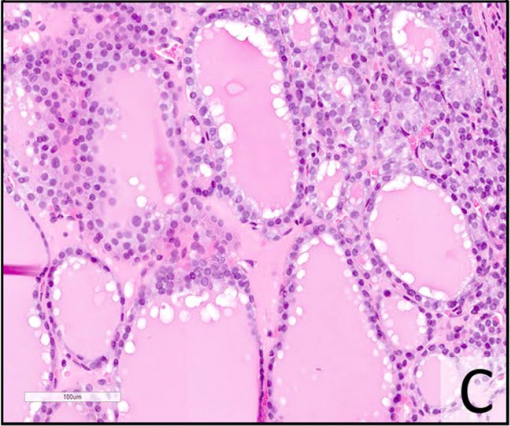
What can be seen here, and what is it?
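Thyroid follicles with dark, hyperplastic-like nuclei, lined by a single layer of cuboidal cells around pink colloid. The nuclei are small, round and darkly stained, evenly spaced, and the colloid shows rows of clear vacuoles along its edge. Between follicles lie clusters of cells with similarly dark nuclei.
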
